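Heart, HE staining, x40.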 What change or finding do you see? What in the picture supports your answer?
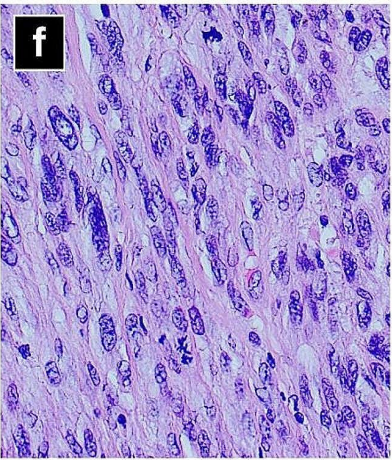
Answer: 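Spindle-shape, pleomorphic. Many nuclei are elongated and run roughly parallel. Nuclei vary markedly in size and shape. Some nuclei are large and very dark.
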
